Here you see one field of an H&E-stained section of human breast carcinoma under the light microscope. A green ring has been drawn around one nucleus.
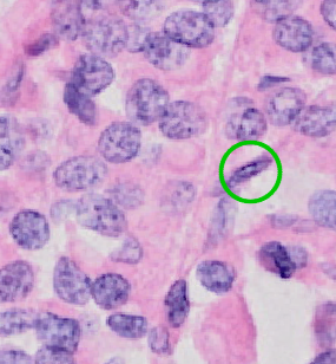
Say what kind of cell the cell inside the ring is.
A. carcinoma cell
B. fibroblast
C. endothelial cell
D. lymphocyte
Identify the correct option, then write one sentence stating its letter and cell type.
Option C is the one to take: the cell inside the ring is an endothelial cell.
